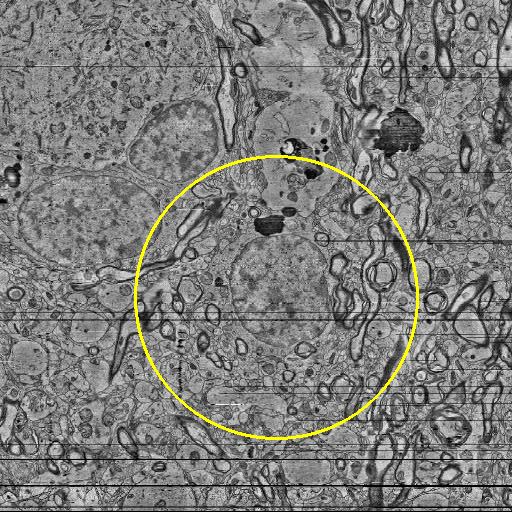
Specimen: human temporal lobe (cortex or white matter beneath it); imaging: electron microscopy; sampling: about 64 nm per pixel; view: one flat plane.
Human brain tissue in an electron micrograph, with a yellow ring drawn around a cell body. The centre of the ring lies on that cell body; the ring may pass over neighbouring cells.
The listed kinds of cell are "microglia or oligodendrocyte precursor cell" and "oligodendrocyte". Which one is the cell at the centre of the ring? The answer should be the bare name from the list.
oligodendrocyte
